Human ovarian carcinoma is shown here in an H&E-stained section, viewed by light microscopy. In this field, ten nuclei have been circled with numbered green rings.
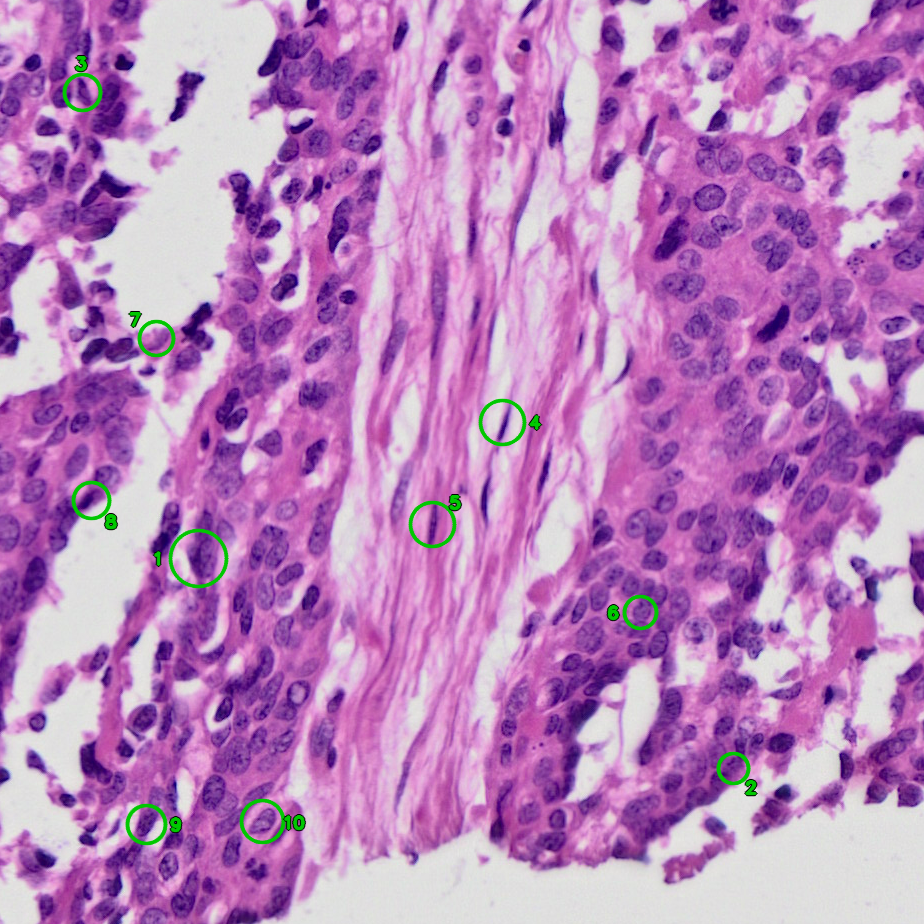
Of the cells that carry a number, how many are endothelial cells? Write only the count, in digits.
0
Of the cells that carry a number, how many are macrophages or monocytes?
2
